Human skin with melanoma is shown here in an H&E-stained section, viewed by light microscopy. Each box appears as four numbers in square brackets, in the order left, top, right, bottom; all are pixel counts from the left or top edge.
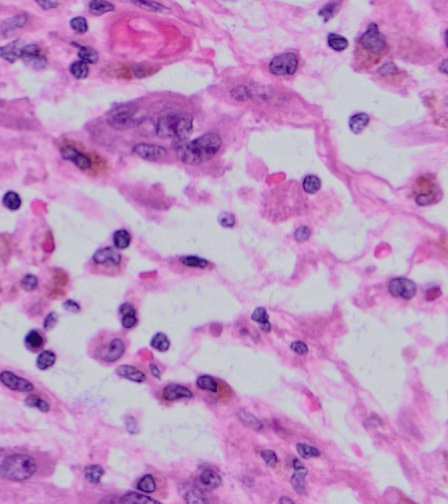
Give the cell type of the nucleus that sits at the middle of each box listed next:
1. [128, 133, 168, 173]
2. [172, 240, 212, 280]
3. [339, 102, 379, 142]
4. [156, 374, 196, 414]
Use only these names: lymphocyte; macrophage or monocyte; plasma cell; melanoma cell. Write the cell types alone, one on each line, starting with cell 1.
melanoma cell
lymphocyte
lymphocyte
macrophage or monocyte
